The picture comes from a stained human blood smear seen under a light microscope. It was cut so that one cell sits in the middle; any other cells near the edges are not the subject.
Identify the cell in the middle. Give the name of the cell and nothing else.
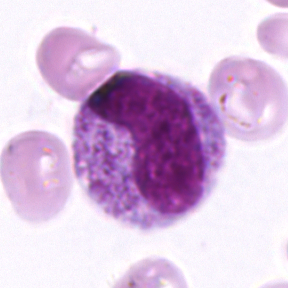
metamyelocyte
